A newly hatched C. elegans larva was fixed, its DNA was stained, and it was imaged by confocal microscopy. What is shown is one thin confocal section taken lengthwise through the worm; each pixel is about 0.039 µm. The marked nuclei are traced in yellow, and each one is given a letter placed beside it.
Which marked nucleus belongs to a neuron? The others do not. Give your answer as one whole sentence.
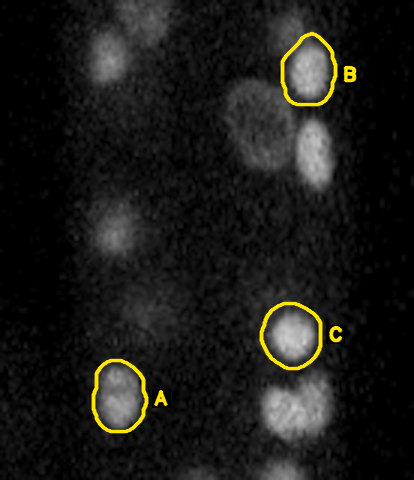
The nucleus of a neuron is B.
